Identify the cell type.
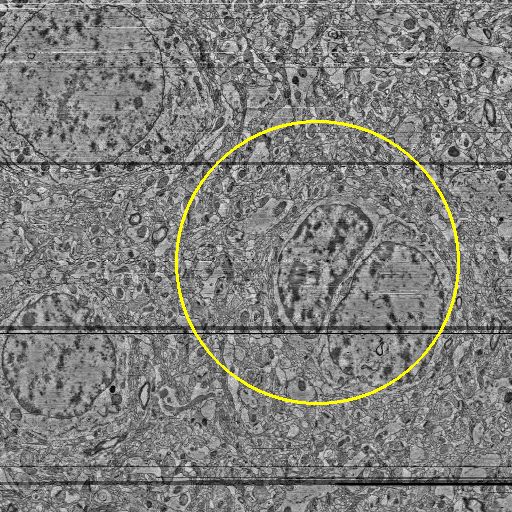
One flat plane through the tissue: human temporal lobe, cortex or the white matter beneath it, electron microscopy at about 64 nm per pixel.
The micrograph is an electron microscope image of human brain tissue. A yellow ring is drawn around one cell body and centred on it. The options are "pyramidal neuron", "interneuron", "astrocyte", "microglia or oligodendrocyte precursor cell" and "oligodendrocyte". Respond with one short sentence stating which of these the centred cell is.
The cell body in the ring belongs to a microglial cell or oligodendrocyte precursor cell.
